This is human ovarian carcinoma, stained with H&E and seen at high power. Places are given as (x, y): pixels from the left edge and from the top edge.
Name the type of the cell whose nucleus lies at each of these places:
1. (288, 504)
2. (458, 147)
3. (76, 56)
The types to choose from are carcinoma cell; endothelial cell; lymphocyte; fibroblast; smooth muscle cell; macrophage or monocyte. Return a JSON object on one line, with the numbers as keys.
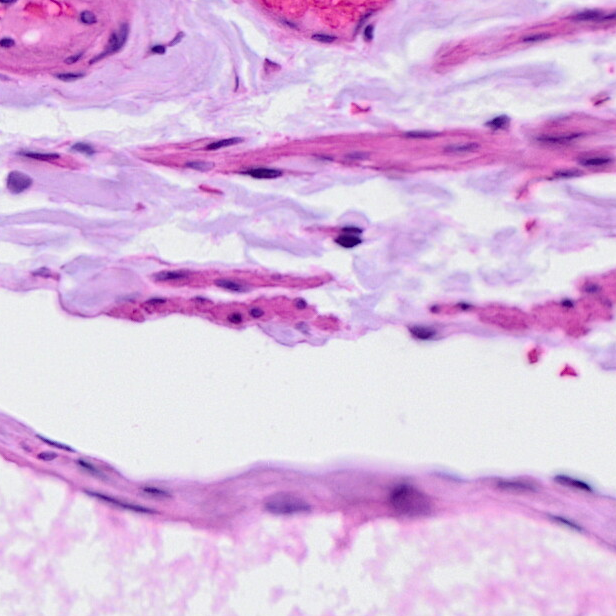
{"1": "endothelial cell", "2": "smooth muscle cell", "3": "smooth muscle cell"}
